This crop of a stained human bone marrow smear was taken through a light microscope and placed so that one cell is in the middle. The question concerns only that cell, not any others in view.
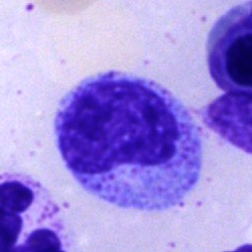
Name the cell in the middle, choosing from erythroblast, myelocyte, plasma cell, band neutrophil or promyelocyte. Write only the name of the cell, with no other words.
myelocyte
